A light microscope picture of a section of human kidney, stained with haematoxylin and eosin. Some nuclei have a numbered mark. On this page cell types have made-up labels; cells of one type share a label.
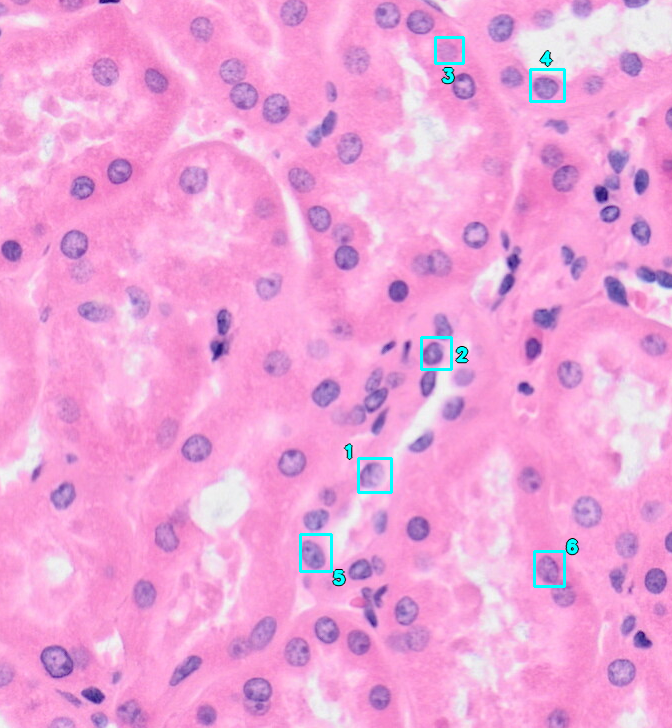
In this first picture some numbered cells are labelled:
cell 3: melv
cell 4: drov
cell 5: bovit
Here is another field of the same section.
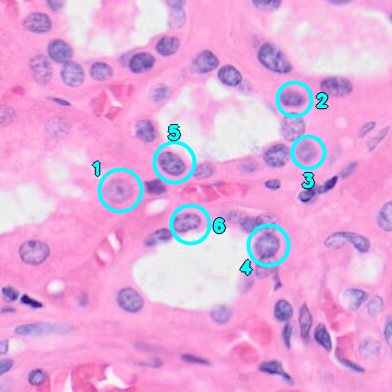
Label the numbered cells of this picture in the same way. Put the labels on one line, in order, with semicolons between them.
melv; bovit; bovit; bovit; drov; bovit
